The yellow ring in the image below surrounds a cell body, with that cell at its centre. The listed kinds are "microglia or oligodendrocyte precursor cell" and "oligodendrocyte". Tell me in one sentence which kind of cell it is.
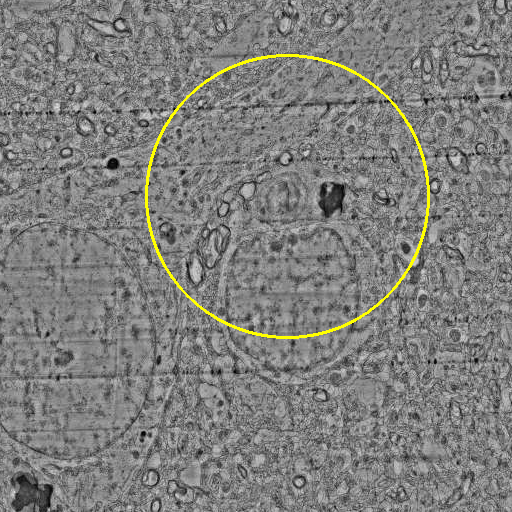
The centre of the ring holds an oligodendrocyte.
